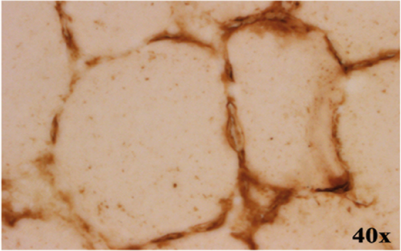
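This is skeletal muscle cut in cross-section at high magnification, showing parts of a few large muscle fibers. The fibers are rounded to polygonal profiles with a pale, lightly tinted interior. Fine brown dots are scattered faintly within the fibers. The staining pattern thus outlines each fiber at its surface membrane rather than filling it.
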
